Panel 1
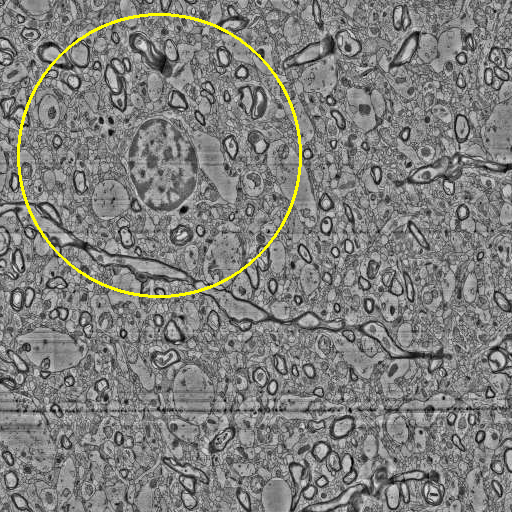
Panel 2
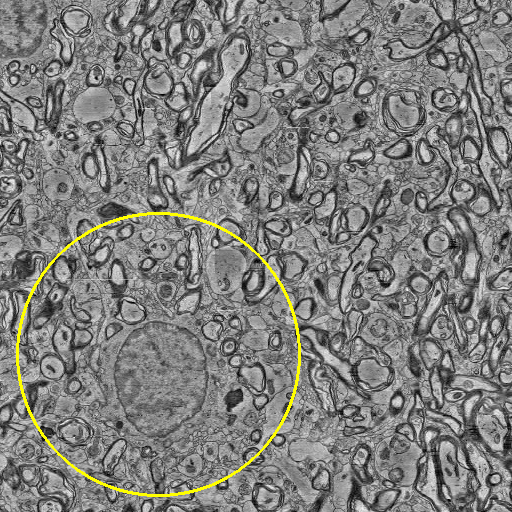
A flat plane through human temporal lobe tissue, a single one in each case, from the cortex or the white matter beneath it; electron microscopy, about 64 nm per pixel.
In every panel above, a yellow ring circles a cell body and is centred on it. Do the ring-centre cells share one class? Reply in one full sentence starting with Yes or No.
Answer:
No, the two cells at the ring centres in the panels belong to two classes.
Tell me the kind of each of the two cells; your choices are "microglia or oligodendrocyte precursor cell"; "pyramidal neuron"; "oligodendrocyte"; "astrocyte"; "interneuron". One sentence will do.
The ringed cell is a microglial cell or oligodendrocyte precursor cell in the first picture and an oligodendrocyte in the second picture.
